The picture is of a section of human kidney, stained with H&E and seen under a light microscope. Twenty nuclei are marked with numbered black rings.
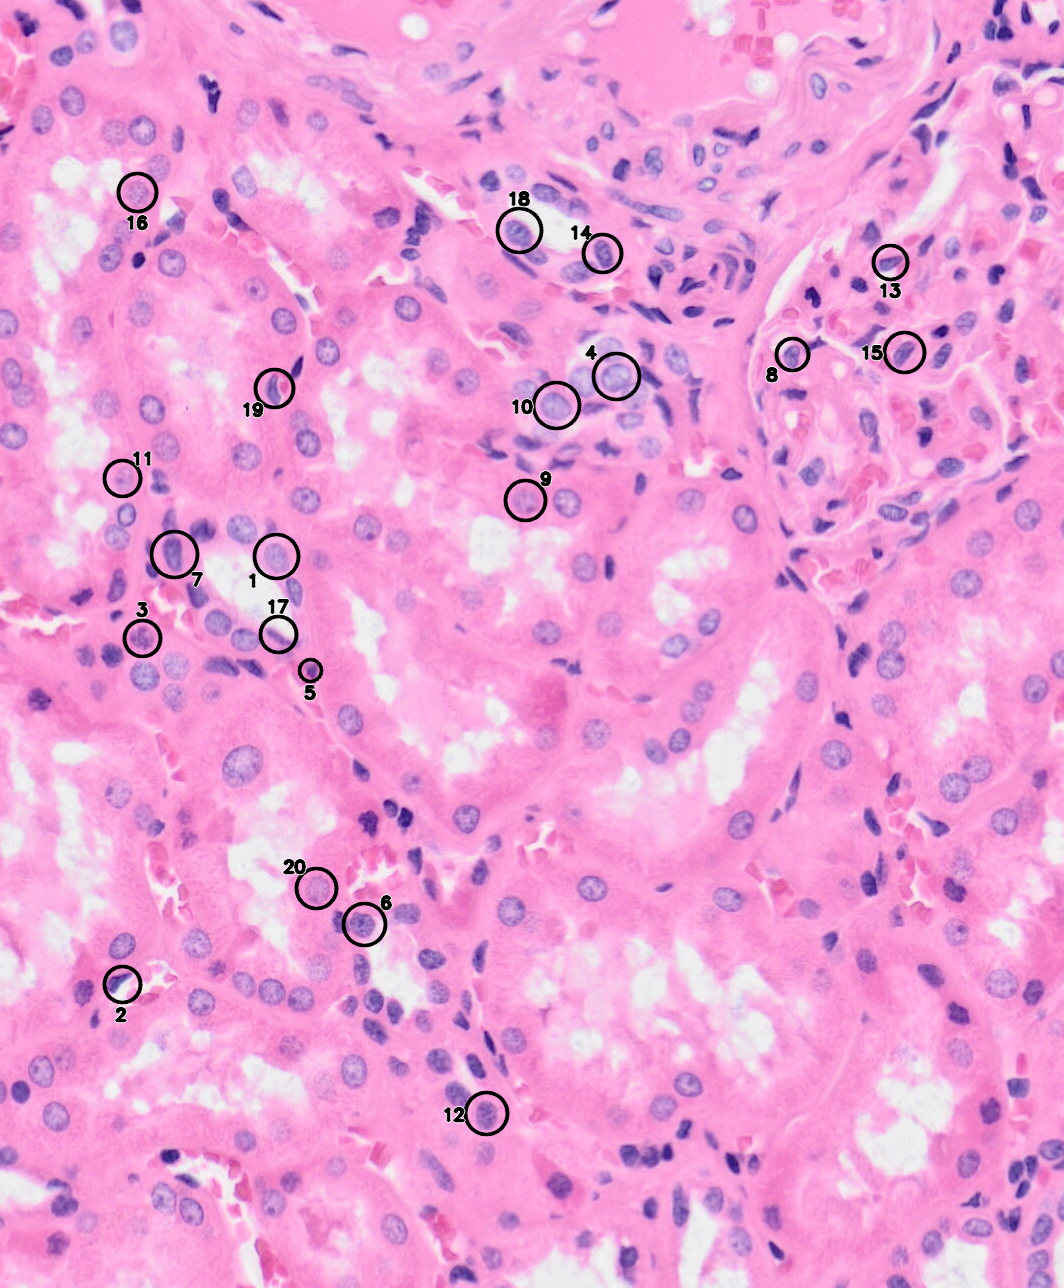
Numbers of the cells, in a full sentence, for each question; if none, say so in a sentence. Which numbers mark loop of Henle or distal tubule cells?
The cells to which the numbers 3, 6 and 12 refer are loop of Henle or distal tubule cells.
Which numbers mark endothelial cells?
The cells that bear the numbers 2, 5, 8, 13, 15 and 19 are endothelial cells.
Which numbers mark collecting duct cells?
The cells to which the numbers 1, 4, 7, 10, 14, 17 and 18 refer are collecting duct cells.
